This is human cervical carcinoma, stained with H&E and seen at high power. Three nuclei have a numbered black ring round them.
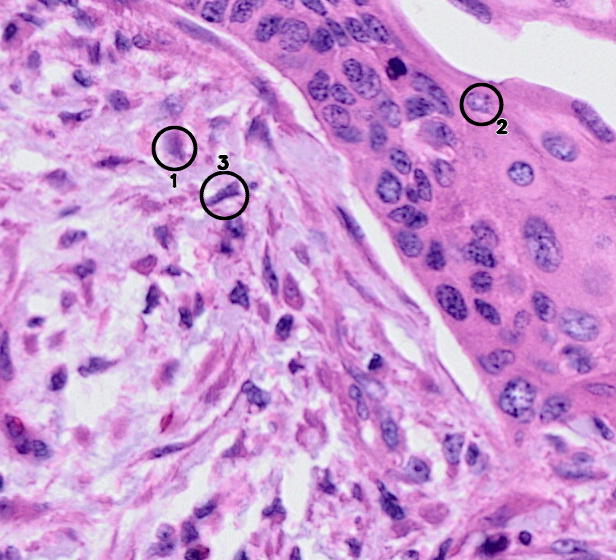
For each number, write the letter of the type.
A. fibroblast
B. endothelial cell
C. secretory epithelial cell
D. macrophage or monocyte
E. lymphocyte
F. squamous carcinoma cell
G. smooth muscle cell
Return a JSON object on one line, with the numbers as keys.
{"1": "A", "2": "F", "3": "A"}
